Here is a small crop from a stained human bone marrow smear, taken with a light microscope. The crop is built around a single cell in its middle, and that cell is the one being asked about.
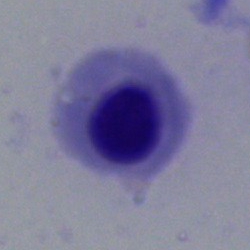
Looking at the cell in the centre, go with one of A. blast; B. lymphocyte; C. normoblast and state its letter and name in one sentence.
The expected answer is option C, the central cell being a normoblast.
